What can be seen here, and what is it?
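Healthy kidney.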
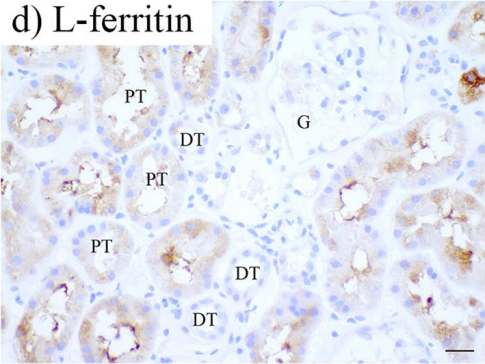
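This is renal cortex with a pale glomerulus near the top and many tubules in cross-section around it. The larger tubules have tall cuboidal epithelium with a ragged luminal edge, and brown granular stain gathers in the cytoplasm toward the lumen, with some darker clumps at the apical border. Smaller tubules with neater, lower epithelium and more closely spaced nuclei are largely pale. Blue round nuclei mark each epithelial cell, and the glomerulus shows only faint staining.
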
